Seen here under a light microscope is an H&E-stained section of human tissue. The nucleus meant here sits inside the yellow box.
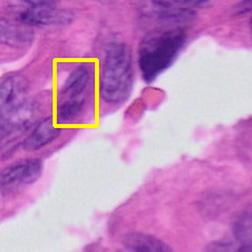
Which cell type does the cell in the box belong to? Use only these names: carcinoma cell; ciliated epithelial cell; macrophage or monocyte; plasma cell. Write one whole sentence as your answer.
Cell type answer for this item: the cell in the box is a carcinoma cell.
